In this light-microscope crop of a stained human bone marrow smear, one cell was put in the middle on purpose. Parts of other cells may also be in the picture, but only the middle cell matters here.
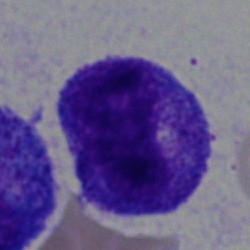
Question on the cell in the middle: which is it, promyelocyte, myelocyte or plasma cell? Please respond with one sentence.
The crop shows a promyelocyte in its centre.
